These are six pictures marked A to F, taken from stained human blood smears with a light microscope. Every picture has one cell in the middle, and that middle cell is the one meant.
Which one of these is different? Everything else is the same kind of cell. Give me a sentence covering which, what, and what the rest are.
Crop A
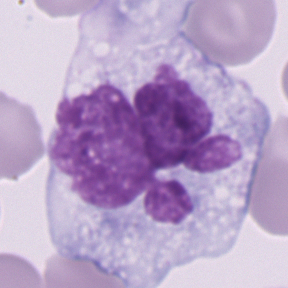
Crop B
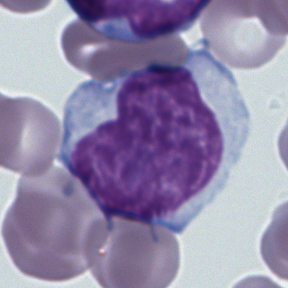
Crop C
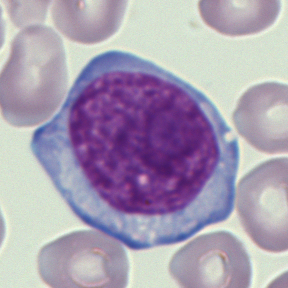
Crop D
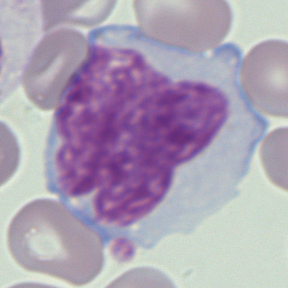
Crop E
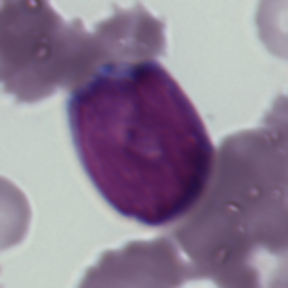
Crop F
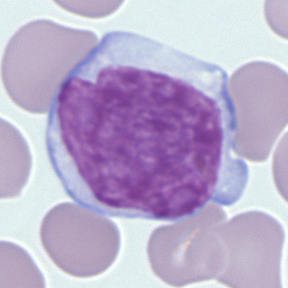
Crop A differs from the others in showing a monocyte; the rest all show myeloblasts.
